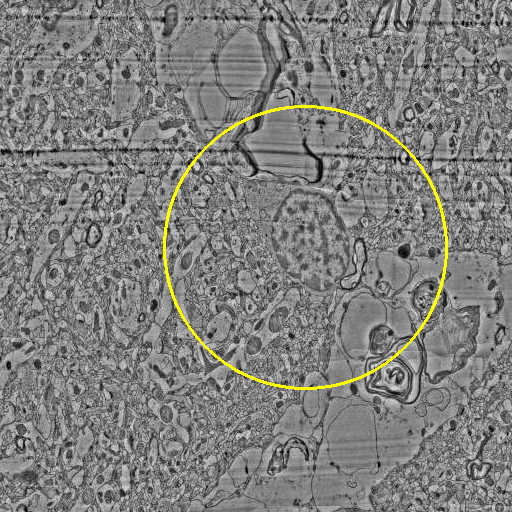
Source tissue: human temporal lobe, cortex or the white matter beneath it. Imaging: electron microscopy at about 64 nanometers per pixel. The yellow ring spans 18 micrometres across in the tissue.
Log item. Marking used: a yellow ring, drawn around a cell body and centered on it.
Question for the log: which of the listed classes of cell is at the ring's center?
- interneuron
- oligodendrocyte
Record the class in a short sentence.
At the center of the ring lies an oligodendrocyte.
